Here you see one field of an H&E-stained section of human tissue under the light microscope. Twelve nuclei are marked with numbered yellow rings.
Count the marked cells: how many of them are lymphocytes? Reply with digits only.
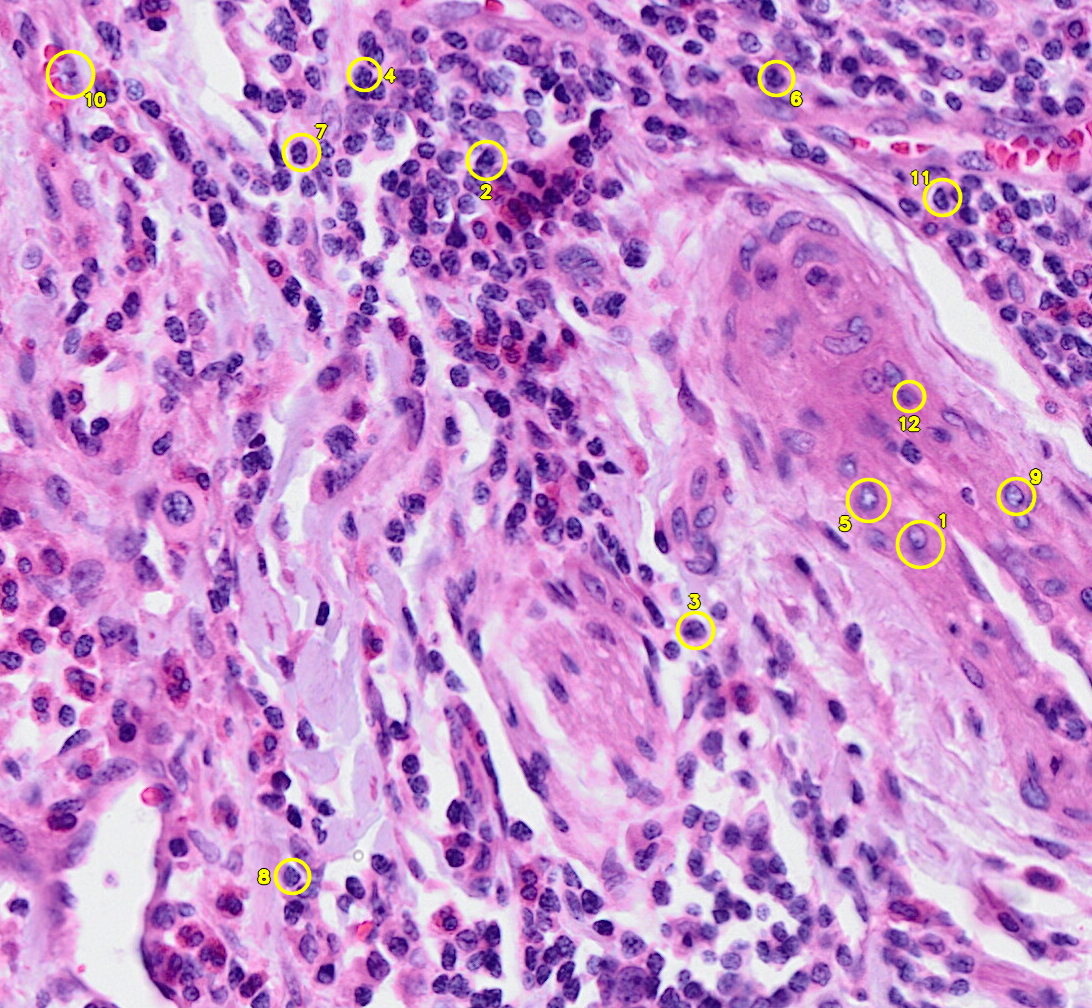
7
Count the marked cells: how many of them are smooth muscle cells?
4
